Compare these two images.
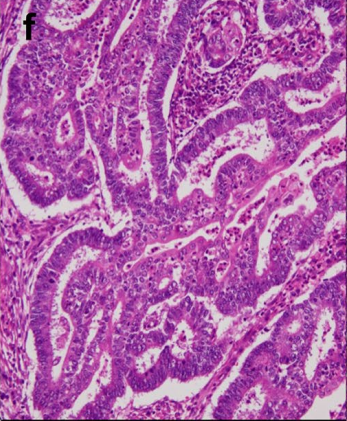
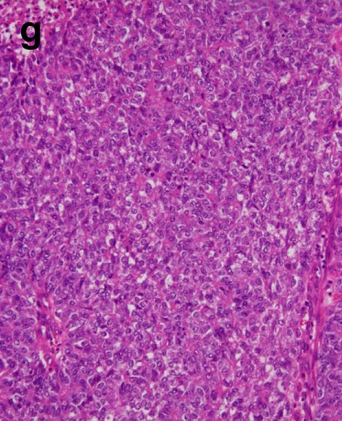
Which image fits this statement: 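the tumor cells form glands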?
The first image.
